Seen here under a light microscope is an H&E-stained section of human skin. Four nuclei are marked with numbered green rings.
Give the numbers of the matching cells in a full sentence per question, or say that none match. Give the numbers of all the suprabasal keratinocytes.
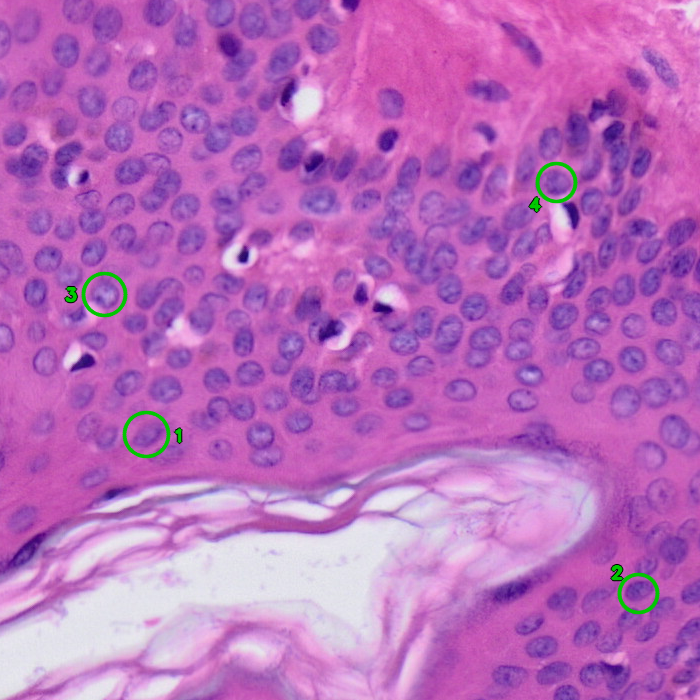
The cells assigned the numbers 1, 2 and 3 are suprabasal keratinocytes.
